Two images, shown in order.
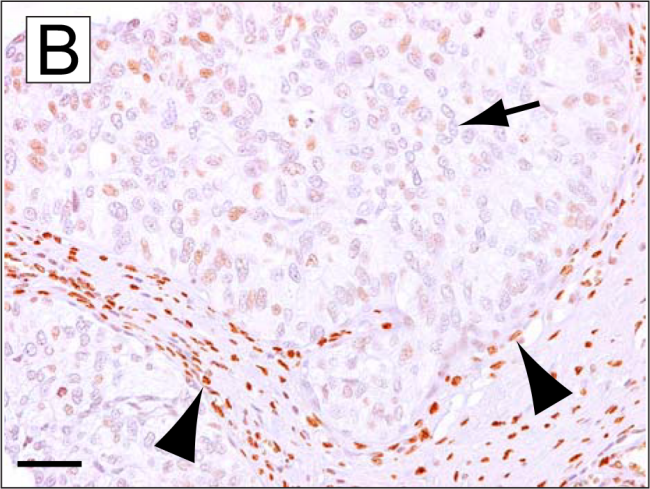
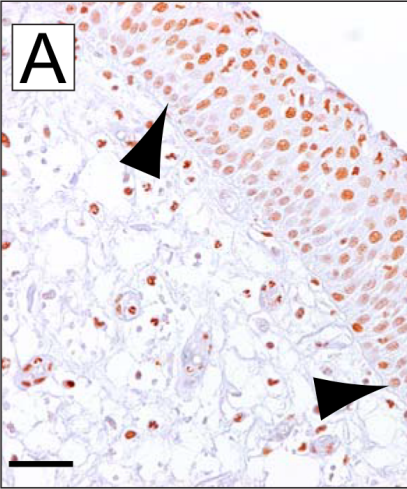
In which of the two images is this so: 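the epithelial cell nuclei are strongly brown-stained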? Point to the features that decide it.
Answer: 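First image: the epithelial tumor cell nuclei are mostly pale, with only faint brown. Second image: the epithelial nuclei, especially toward the surface, are strongly brown.
Answer: the second image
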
